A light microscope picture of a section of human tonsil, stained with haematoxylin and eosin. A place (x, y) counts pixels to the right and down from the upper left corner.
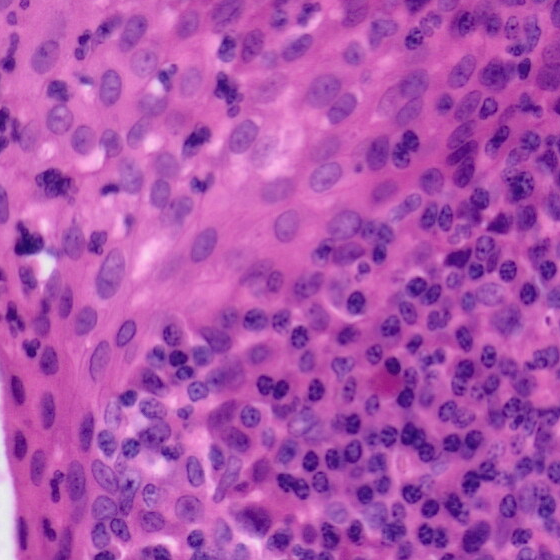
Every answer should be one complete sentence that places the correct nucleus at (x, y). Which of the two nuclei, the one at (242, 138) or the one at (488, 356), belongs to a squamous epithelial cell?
The cell to which the nucleus at (242, 138) belongs is a squamous epithelial cell.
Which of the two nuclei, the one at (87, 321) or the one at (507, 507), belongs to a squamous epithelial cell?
The pair contains one nucleus of a squamous epithelial cell, namely the one at (87, 321).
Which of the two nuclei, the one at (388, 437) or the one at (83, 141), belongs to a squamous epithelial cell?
Only the nucleus at (83, 141), of the two, belongs to a squamous epithelial cell.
